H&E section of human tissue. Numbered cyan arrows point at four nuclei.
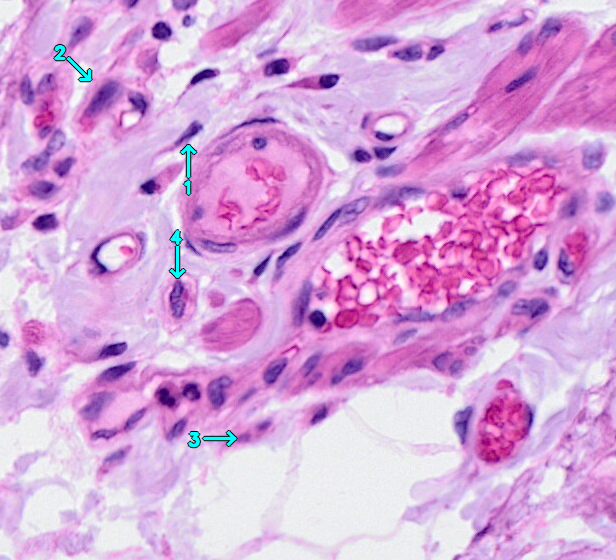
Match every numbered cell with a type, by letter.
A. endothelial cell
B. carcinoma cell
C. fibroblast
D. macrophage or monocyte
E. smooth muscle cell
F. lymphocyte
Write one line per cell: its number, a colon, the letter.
1: C
2: A
3: A
4: A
